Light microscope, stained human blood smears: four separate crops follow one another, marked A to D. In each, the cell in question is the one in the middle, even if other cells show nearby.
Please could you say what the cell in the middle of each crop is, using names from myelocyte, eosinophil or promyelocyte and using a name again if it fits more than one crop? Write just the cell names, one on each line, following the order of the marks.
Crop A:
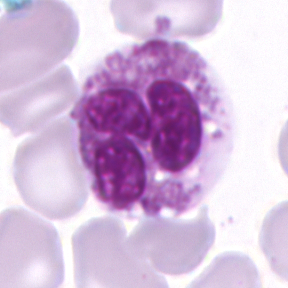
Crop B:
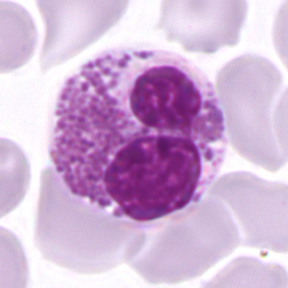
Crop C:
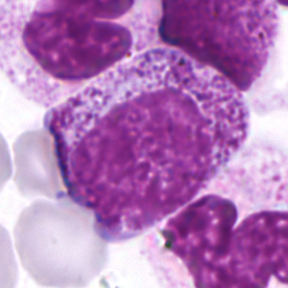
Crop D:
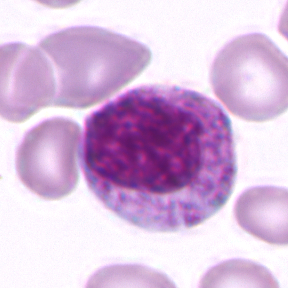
eosinophil
eosinophil
myelocyte
myelocyte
